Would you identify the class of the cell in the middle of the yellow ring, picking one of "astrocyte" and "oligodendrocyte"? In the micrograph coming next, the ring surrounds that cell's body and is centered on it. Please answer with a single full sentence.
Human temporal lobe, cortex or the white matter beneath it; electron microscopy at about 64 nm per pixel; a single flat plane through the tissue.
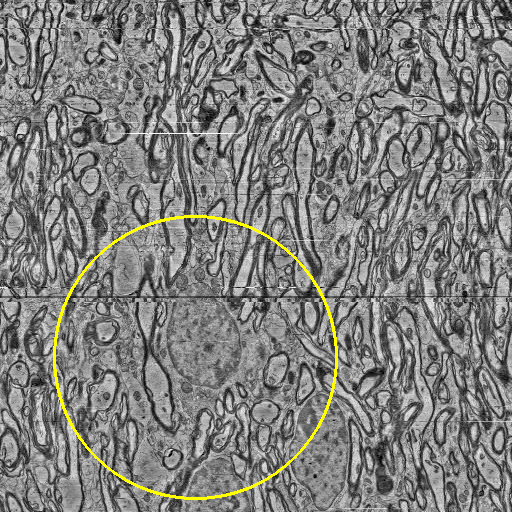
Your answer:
In the micrograph, it is an oligodendrocyte whose body lies at the ring's center.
